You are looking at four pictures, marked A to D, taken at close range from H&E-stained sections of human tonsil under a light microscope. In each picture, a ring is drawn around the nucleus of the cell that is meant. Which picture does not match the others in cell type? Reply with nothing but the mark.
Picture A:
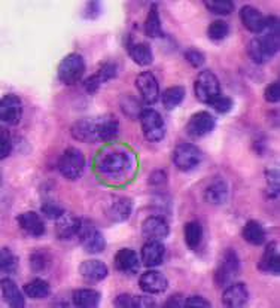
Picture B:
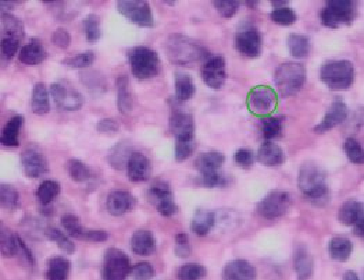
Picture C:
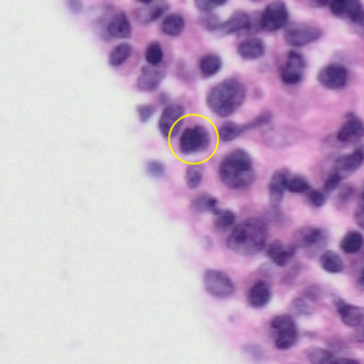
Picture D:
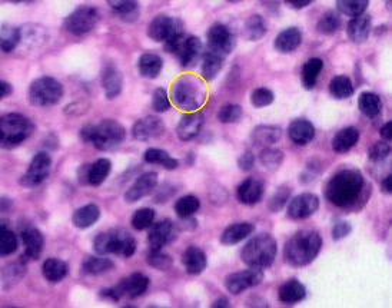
A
